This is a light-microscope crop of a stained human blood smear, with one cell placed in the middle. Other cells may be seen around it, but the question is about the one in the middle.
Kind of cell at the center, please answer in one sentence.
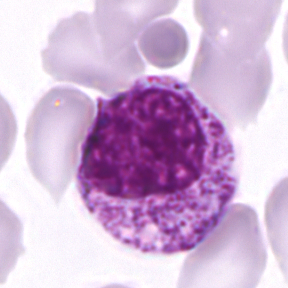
Centrally within this crop lies a myelocyte.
